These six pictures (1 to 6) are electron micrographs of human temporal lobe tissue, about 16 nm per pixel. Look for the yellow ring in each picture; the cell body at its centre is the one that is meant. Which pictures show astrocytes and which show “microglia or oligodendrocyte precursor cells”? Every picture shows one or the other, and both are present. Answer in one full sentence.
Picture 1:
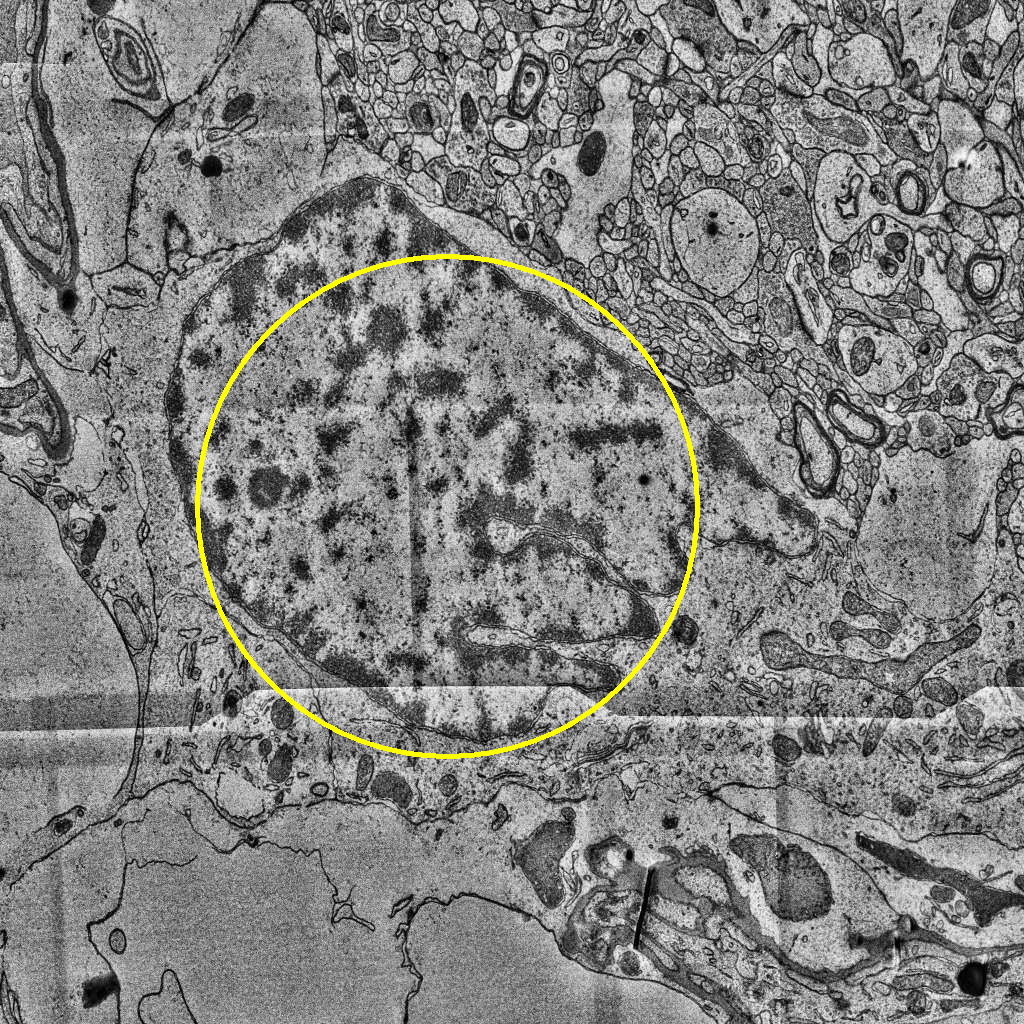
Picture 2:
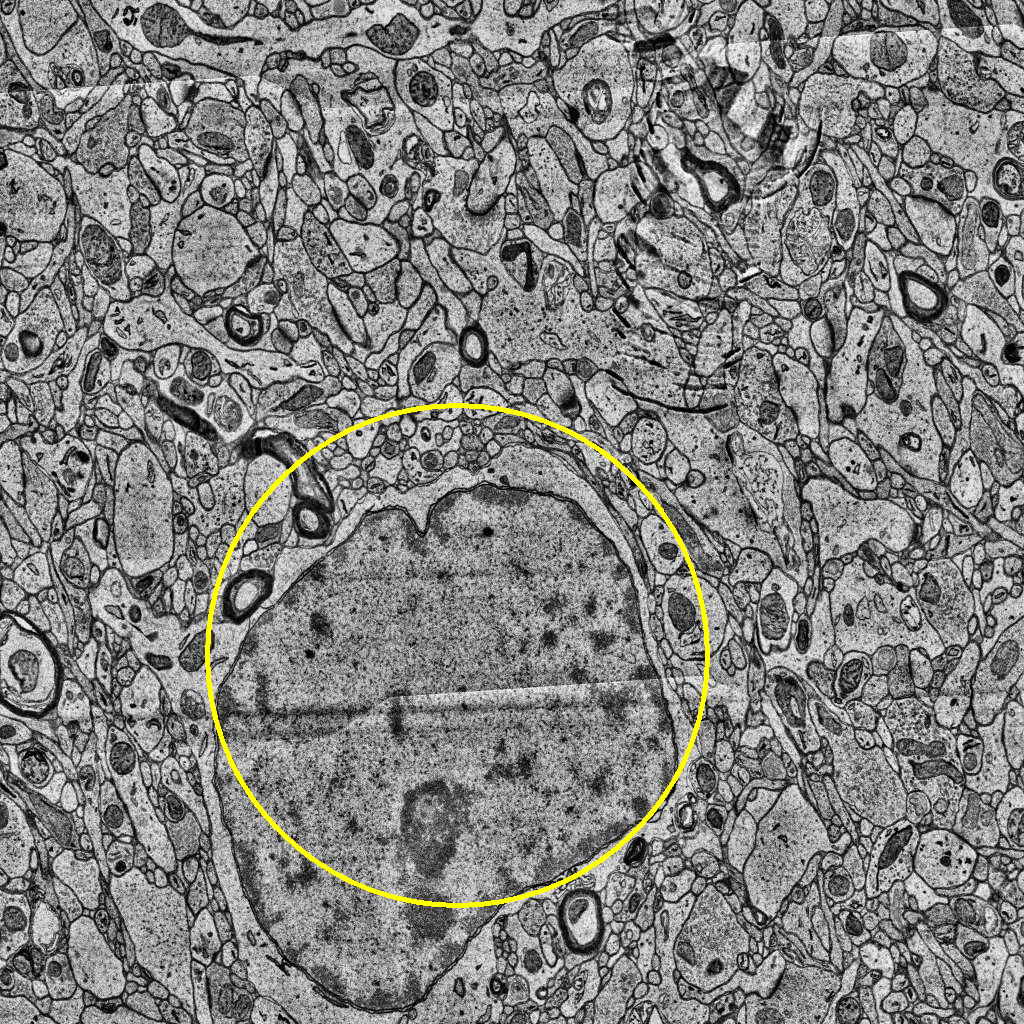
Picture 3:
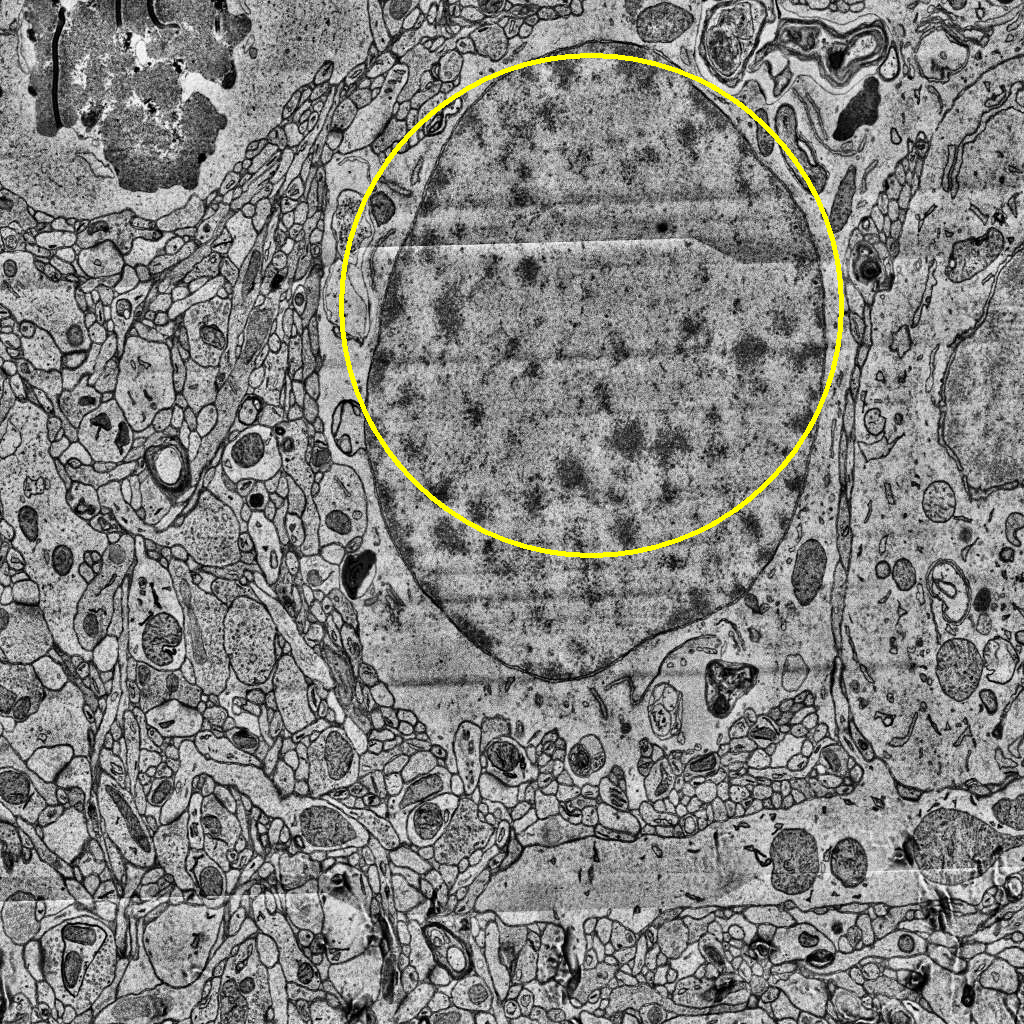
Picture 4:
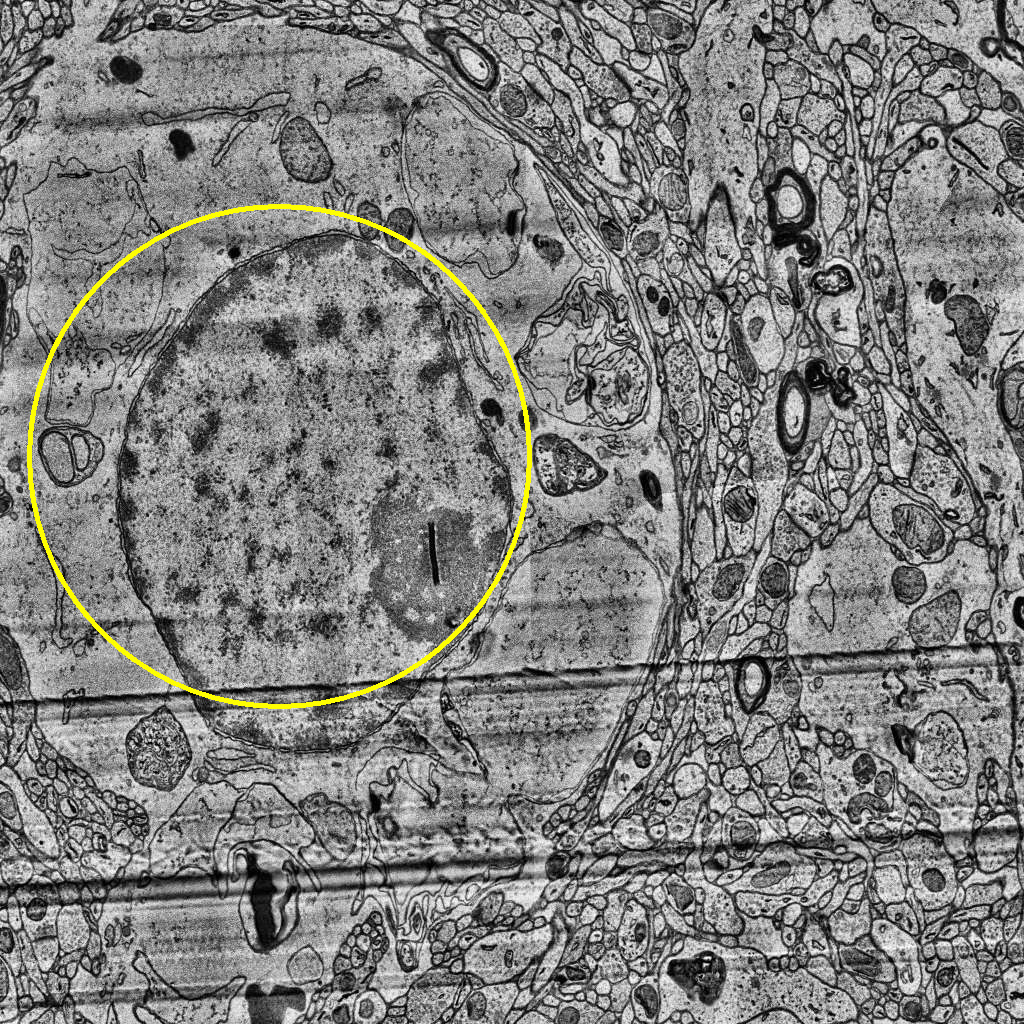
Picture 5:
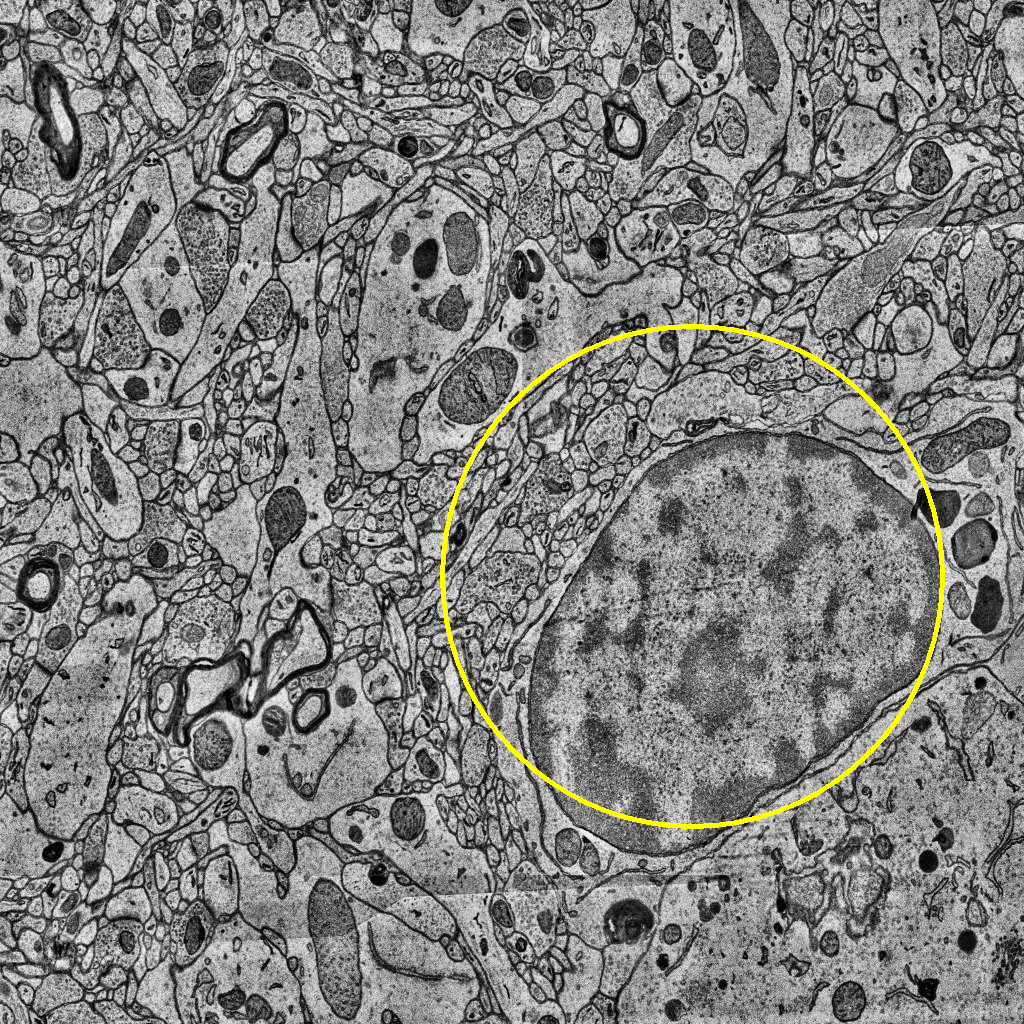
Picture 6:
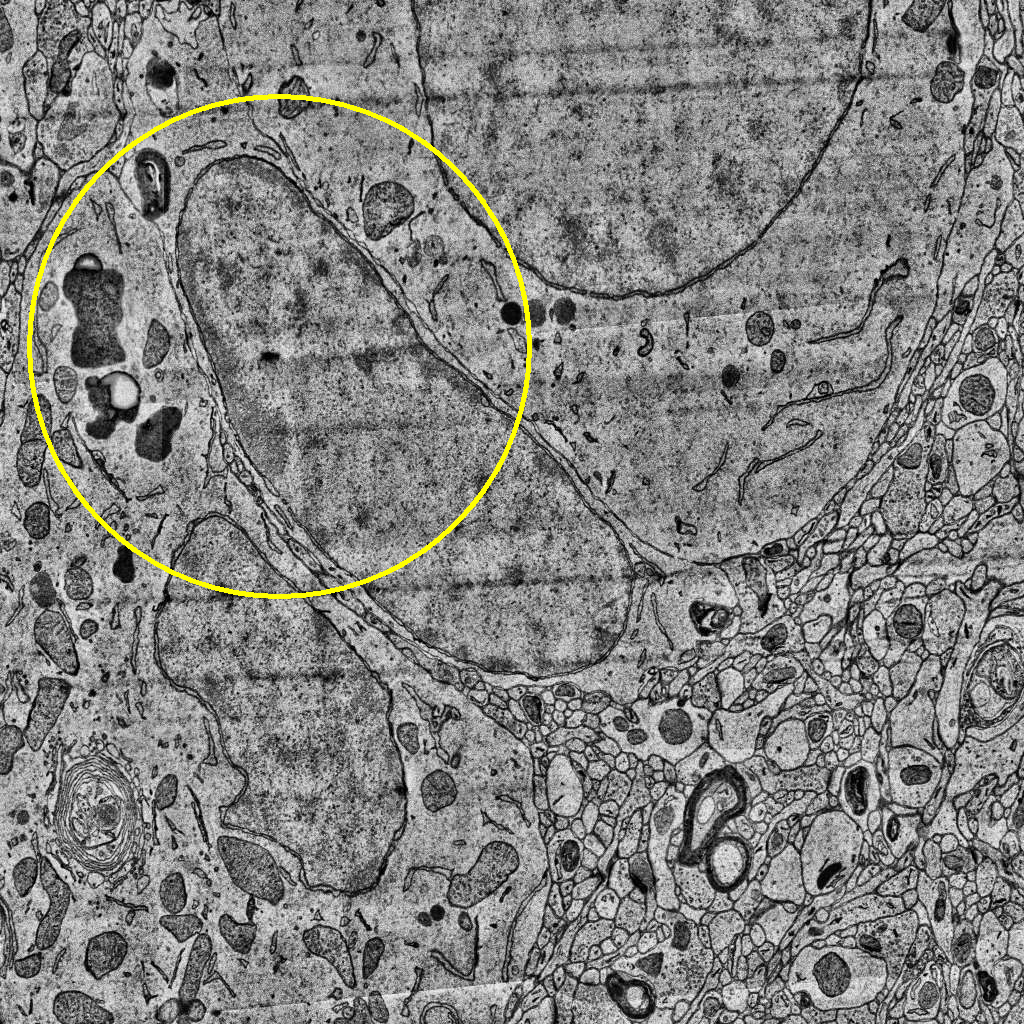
Pictures 3 and 4 show astrocytes, and pictures 1, 2, 5 and 6 show “microglia or oligodendrocyte precursor cells”.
